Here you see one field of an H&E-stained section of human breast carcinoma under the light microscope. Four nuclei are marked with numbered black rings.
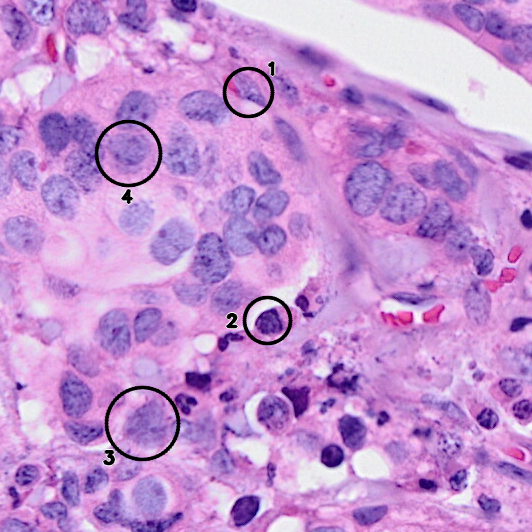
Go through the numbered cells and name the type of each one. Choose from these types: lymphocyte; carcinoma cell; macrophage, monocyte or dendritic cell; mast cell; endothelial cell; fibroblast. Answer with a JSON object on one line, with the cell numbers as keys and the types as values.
{"1": "endothelial cell", "2": "carcinoma cell", "3": "carcinoma cell", "4": "carcinoma cell"}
